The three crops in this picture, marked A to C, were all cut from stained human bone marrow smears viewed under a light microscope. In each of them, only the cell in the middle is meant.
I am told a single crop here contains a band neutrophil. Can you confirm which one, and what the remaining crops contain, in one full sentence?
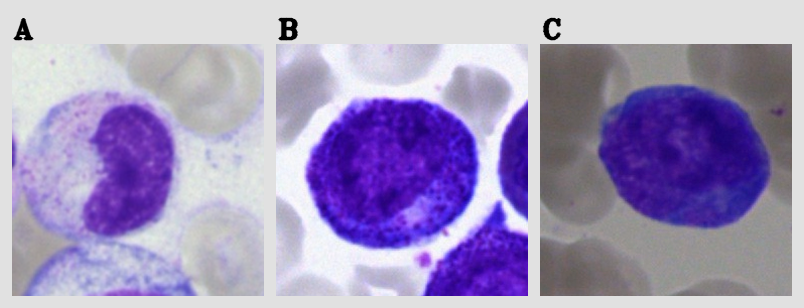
Shown in crop A is a band neutrophil, whereas crop B is a promyelocyte and crop C is a blast.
